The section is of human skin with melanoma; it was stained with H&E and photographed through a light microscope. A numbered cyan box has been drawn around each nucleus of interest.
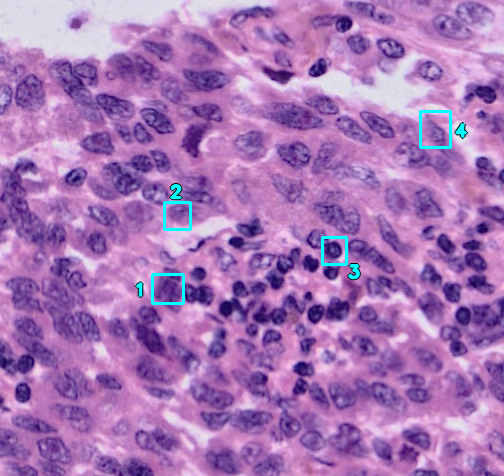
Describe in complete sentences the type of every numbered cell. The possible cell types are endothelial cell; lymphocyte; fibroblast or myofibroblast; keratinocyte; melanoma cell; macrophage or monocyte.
Cells 1, 2 and 4 are melanoma cells. Cell 3 is a lymphocyte.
